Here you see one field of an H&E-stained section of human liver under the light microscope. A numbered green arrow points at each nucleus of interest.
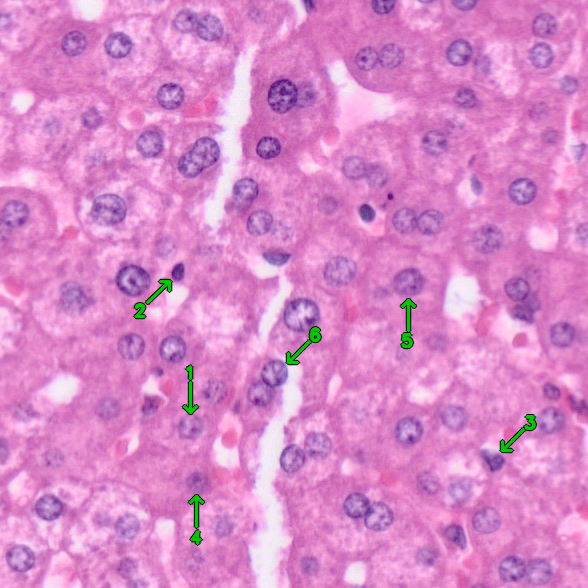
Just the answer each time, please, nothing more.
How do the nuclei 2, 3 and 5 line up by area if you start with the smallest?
2, 3, 5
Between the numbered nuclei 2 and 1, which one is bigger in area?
1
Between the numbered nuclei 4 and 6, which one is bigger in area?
6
